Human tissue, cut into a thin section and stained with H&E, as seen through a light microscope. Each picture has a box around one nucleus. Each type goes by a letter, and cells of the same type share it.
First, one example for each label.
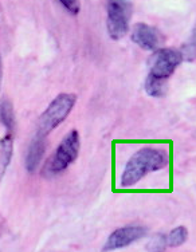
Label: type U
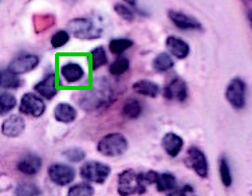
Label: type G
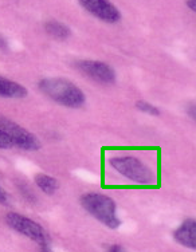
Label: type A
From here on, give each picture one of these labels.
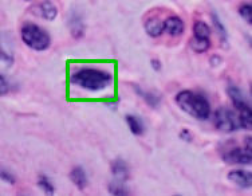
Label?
type G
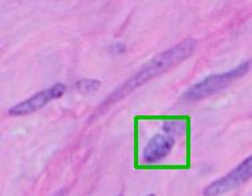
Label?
type U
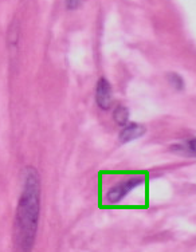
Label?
type U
